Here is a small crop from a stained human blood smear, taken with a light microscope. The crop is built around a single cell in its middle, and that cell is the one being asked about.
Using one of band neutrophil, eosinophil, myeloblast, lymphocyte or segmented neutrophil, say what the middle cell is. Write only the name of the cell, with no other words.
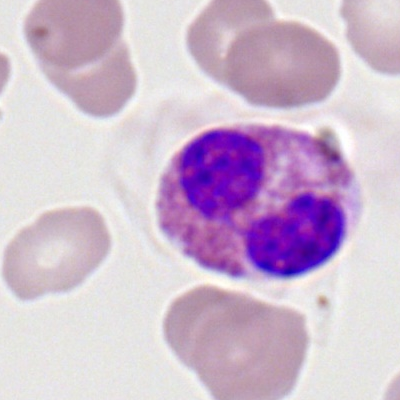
eosinophil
